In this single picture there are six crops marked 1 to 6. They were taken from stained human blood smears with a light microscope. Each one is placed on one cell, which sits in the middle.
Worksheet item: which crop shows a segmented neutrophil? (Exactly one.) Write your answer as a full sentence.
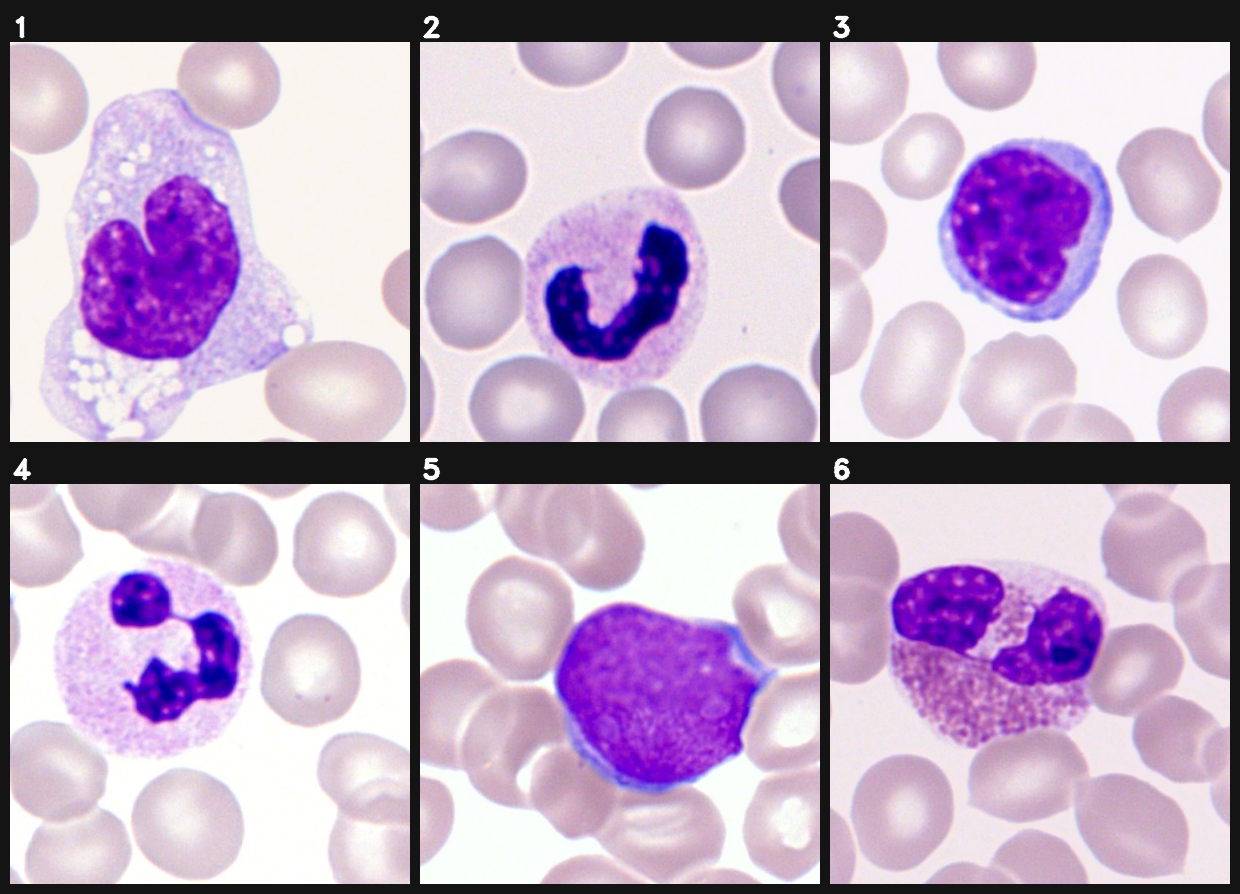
Crop 4 is the crop that shows a segmented neutrophil in its middle.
